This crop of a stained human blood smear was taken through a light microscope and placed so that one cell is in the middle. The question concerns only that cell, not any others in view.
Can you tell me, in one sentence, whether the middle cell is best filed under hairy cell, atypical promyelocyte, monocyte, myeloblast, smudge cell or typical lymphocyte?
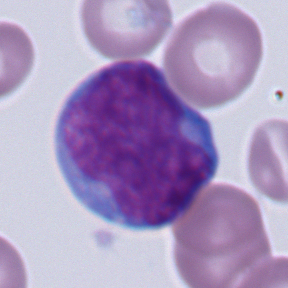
The cell of interest, located centrally, is a myeloblast.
